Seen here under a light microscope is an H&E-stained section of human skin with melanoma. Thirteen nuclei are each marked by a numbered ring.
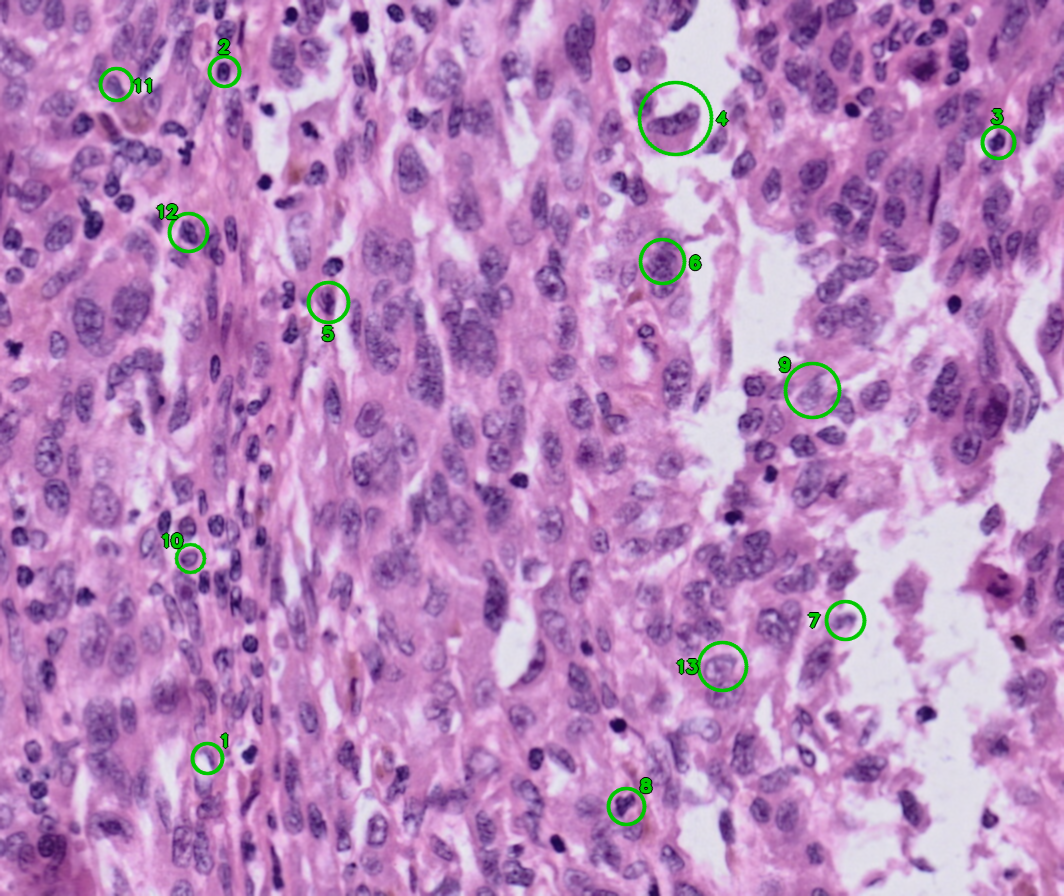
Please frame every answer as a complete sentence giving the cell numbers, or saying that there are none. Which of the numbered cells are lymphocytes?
The cells that have been numbered 2, 3, 8, 11 and 12 are lymphocytes.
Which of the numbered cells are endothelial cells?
The nucleus labelled 1 alone belongs to an endothelial cell; the other marked nuclei do not.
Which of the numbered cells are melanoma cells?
The cells shown with numbers 4, 6, 7, 9 and 13 are melanoma cells.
